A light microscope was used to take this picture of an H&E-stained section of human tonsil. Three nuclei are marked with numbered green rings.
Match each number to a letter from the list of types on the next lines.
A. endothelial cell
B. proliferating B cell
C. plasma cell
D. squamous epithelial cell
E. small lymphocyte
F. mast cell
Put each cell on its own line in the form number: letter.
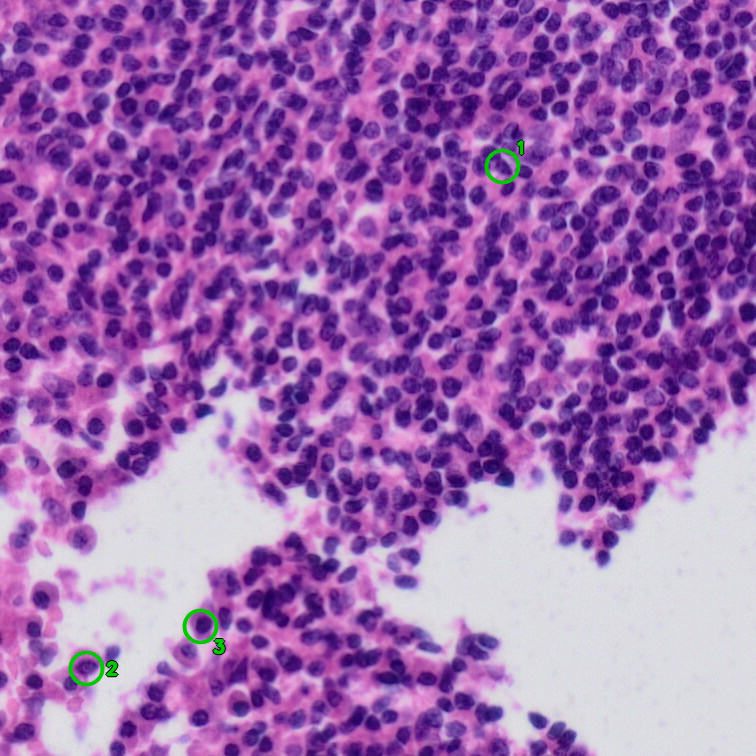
1: E
2: C
3: C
